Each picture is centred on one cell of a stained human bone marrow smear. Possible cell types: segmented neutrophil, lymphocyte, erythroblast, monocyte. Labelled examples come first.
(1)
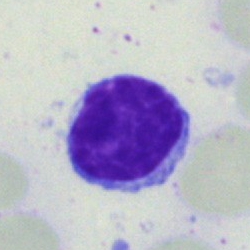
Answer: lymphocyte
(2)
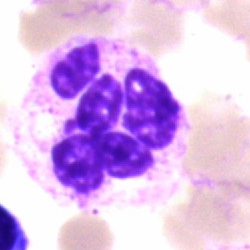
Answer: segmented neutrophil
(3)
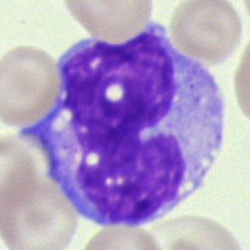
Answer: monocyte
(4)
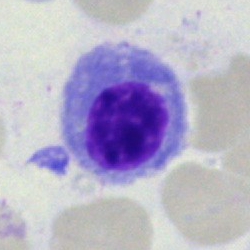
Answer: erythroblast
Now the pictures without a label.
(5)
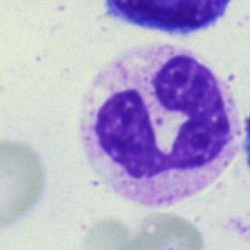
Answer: segmented neutrophil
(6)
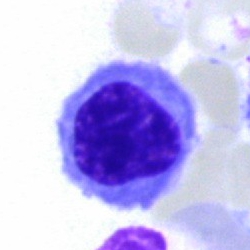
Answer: erythroblast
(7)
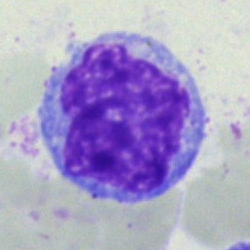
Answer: monocyte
